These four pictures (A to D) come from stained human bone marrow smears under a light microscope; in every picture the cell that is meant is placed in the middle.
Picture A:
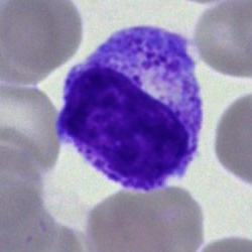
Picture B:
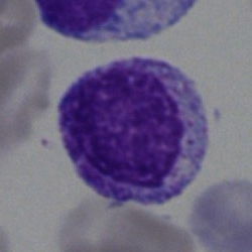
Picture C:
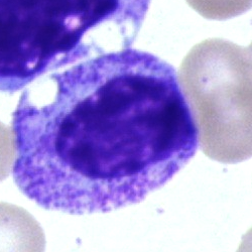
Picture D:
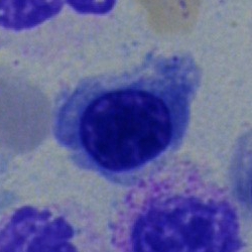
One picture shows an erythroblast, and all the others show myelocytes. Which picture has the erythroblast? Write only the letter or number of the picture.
D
